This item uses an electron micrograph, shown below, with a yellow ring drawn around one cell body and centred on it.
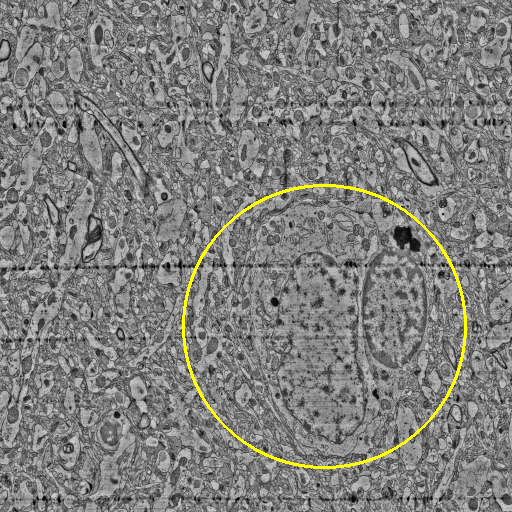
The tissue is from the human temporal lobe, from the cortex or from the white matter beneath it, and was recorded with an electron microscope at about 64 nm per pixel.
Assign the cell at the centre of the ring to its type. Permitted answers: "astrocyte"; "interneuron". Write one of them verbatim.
interneuron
